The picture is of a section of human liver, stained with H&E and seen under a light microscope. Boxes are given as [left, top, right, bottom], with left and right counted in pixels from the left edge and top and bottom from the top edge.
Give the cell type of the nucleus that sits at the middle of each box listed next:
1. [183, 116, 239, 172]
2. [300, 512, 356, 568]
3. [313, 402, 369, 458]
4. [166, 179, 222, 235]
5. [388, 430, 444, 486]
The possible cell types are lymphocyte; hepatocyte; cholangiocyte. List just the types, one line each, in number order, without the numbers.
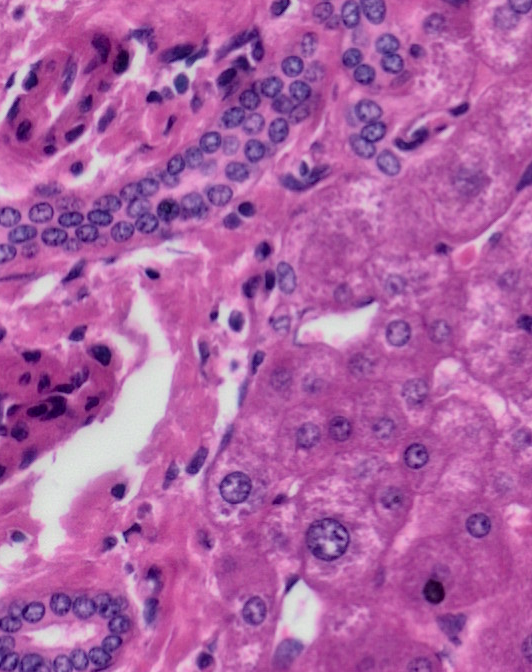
cholangiocyte
hepatocyte
hepatocyte
cholangiocyte
hepatocyte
